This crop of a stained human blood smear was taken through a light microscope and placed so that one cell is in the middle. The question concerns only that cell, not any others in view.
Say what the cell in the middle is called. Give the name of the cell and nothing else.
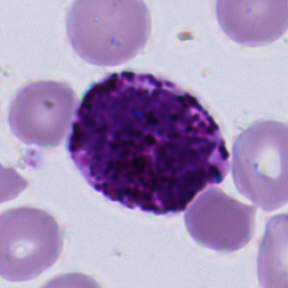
basophil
